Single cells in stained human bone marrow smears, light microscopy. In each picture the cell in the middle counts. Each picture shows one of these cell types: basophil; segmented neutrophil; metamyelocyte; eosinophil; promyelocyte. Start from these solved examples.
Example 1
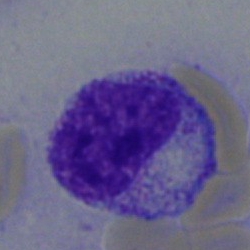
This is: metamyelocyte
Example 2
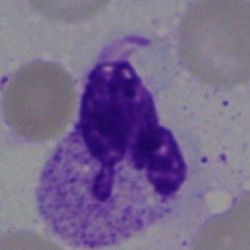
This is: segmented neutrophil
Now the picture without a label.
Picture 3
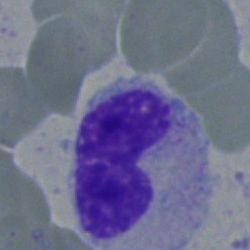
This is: metamyelocyte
